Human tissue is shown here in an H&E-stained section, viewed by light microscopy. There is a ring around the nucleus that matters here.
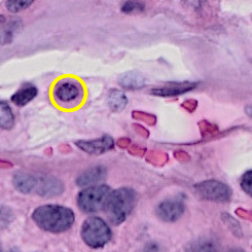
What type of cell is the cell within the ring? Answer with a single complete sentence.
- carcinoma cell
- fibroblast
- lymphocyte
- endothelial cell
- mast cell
Students should answer that the cell within the ring is a mast cell.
